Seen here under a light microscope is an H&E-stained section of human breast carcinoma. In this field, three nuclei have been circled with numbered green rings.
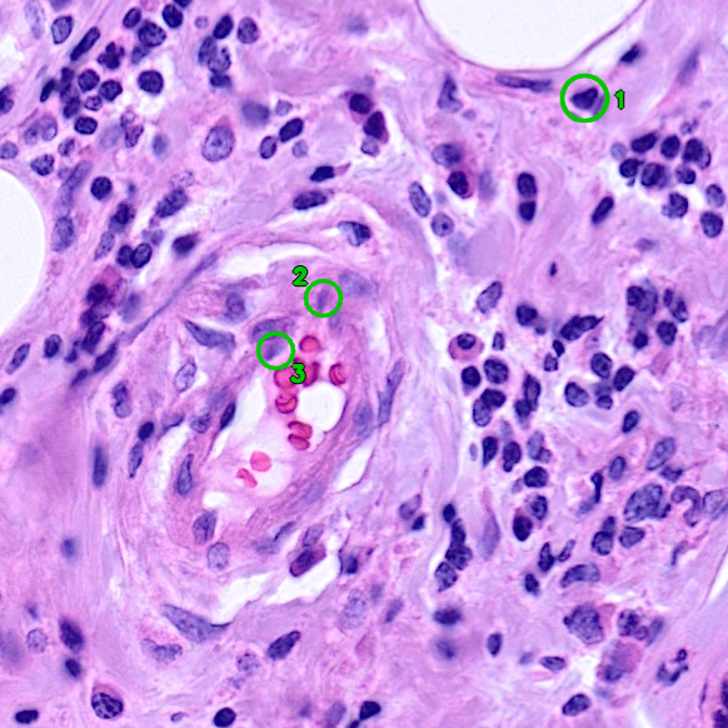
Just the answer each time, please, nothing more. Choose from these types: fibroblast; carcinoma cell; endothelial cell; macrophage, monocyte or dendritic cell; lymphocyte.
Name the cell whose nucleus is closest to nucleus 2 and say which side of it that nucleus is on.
an endothelial cell below and to the right of nucleus 2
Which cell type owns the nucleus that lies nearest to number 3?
endothelial cell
